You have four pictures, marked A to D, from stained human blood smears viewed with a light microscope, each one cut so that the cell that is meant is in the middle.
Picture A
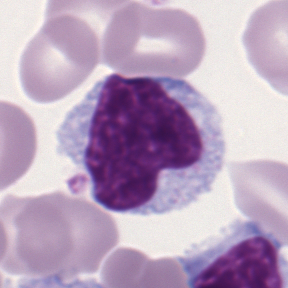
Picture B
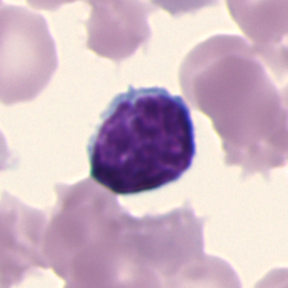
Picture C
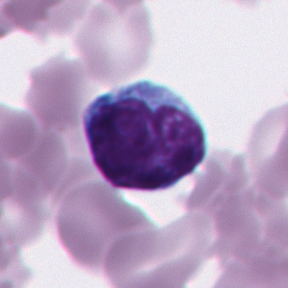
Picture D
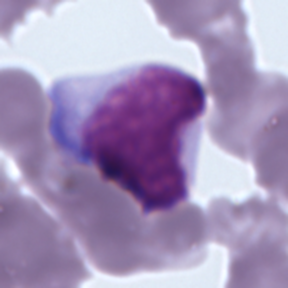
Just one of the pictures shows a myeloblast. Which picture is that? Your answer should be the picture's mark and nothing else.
D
